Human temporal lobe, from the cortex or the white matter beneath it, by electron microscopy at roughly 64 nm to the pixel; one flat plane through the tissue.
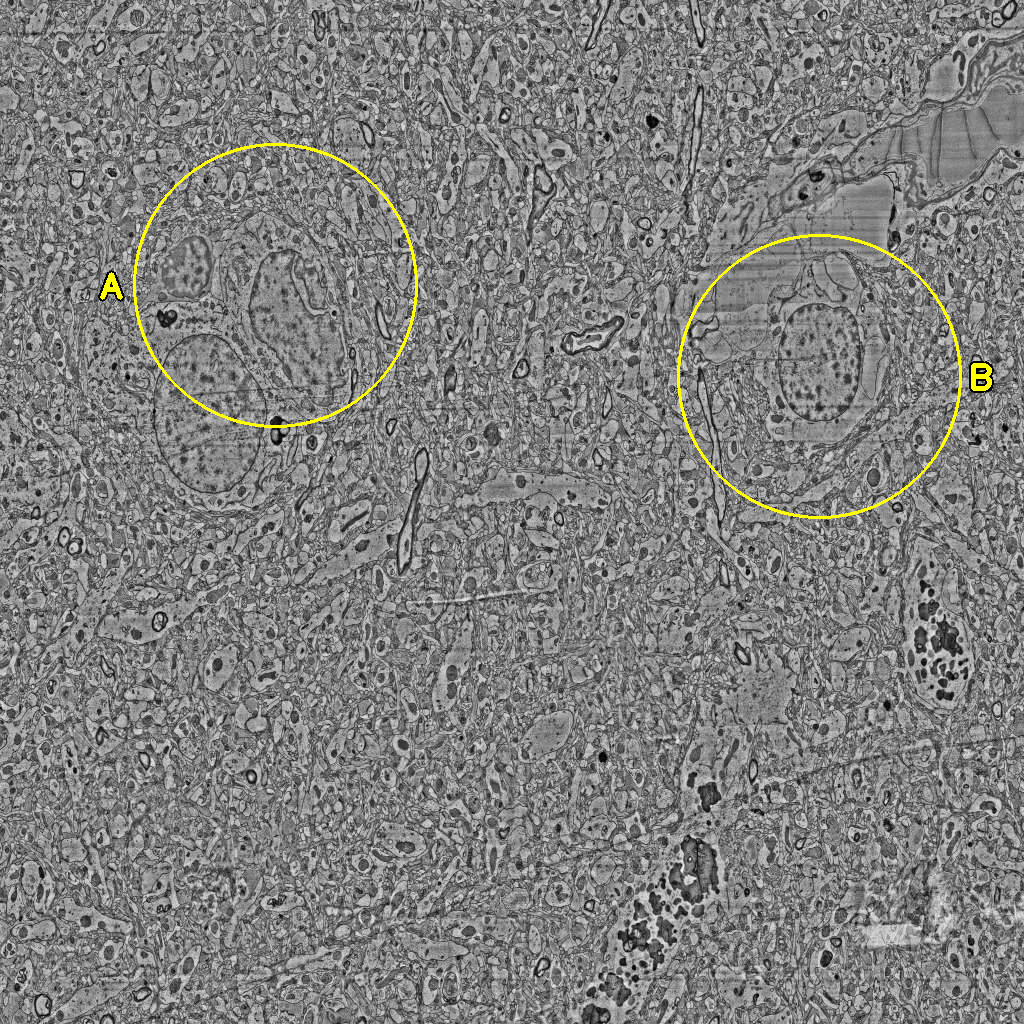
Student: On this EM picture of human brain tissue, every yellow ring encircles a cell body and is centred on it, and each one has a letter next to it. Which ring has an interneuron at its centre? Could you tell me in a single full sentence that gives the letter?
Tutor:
Ring A is the one drawn around the cell you are asking about.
